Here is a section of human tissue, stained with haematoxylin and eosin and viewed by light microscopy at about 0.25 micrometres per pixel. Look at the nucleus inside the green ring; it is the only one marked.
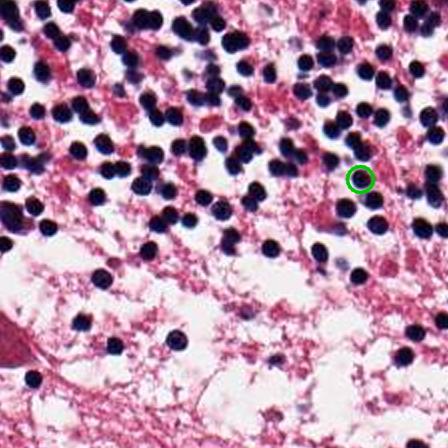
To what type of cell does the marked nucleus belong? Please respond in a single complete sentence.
The marked nucleus forms part of a cerebellar granule cell.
